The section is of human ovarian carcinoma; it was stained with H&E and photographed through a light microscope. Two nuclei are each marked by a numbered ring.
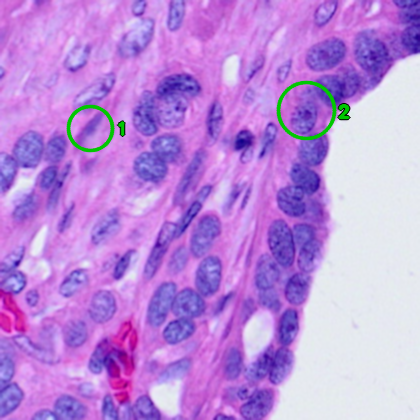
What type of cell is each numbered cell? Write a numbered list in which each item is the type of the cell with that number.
1. fibroblast
2. carcinoma cell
